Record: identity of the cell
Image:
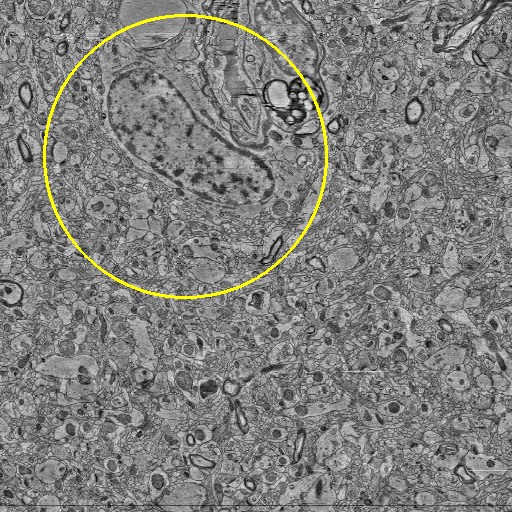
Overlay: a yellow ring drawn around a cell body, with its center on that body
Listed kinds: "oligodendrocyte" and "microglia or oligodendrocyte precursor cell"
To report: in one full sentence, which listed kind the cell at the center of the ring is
In the image, the cell body at the ring's center belongs to a microglial cell or oligodendrocyte precursor cell.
